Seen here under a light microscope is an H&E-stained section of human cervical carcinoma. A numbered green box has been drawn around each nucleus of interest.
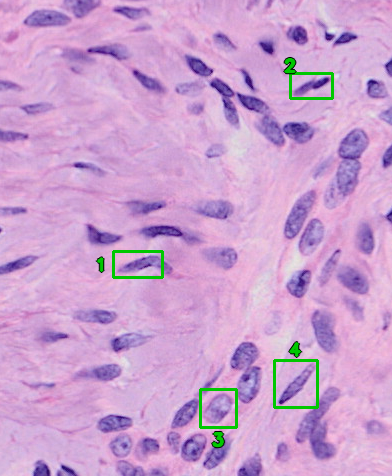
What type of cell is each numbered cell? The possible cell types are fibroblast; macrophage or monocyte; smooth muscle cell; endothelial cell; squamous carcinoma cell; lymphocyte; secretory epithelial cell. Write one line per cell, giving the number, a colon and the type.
1: fibroblast
2: fibroblast
3: endothelial cell
4: fibroblast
